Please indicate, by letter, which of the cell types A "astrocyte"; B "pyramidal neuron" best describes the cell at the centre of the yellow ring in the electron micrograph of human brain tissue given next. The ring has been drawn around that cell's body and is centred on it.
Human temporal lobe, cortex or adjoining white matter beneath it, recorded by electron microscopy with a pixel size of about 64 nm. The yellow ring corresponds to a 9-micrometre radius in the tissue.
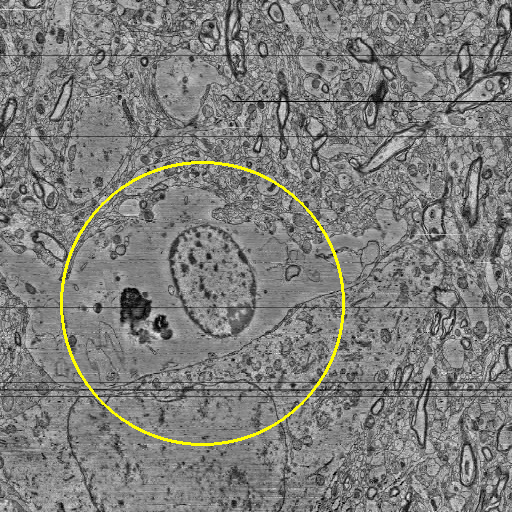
A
